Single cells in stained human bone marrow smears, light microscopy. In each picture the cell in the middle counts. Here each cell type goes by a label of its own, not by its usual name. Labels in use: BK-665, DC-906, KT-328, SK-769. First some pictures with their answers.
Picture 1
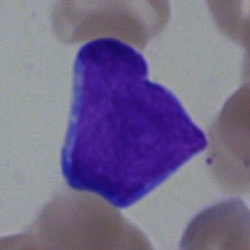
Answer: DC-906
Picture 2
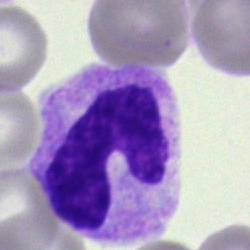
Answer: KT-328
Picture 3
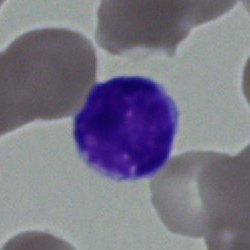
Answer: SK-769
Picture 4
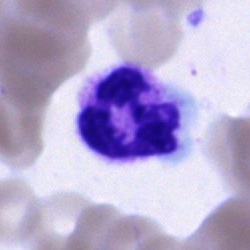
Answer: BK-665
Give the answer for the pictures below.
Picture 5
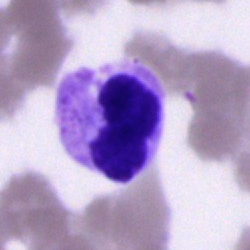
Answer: BK-665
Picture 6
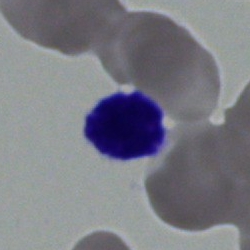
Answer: SK-769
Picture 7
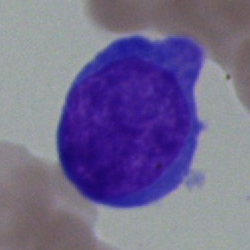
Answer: DC-906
